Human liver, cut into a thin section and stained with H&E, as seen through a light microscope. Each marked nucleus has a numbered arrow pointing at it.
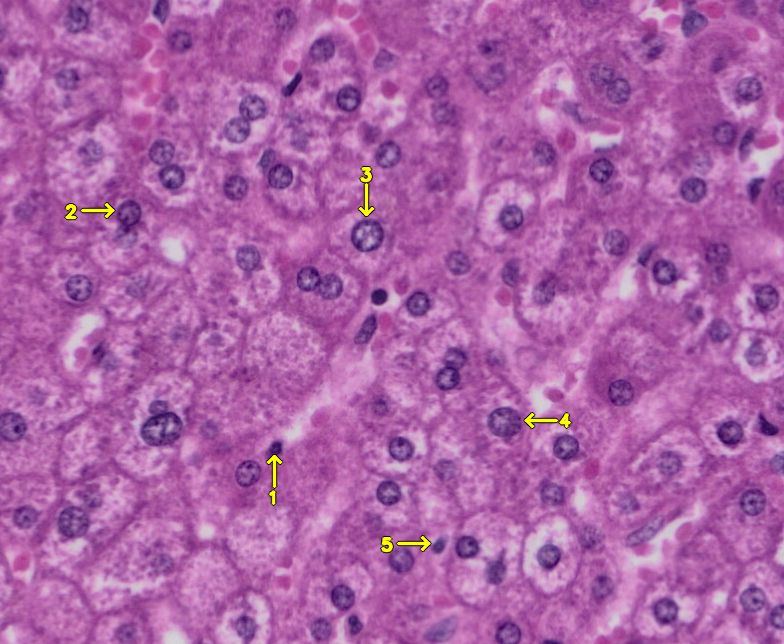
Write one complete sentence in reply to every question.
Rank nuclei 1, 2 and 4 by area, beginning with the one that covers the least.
By area, going up from the smallest, they rank 1, 2, 4.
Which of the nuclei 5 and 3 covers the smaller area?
Nucleus 5 is the smaller one; nucleus 3 covers about 4 times its area.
